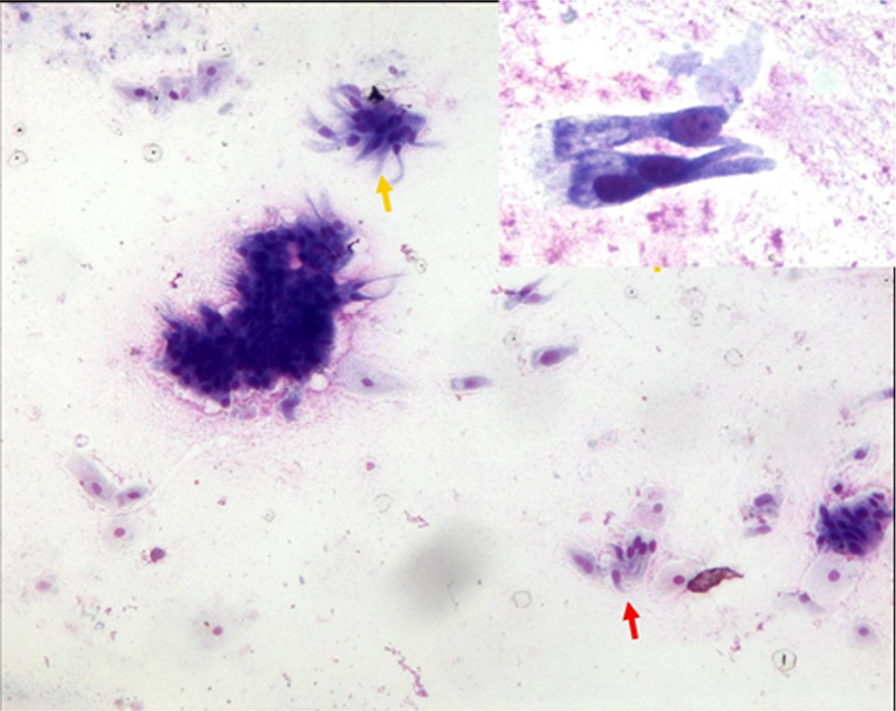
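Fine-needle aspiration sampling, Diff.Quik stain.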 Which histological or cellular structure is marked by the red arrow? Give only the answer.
palisade arrangement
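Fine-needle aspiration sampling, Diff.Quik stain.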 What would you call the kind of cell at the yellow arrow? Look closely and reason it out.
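A small cluster of elongated cells with tapering tails radiating outward. Fine hair-like projections fringe the cluster. That points to this answer: cylindrical ciliated cells.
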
